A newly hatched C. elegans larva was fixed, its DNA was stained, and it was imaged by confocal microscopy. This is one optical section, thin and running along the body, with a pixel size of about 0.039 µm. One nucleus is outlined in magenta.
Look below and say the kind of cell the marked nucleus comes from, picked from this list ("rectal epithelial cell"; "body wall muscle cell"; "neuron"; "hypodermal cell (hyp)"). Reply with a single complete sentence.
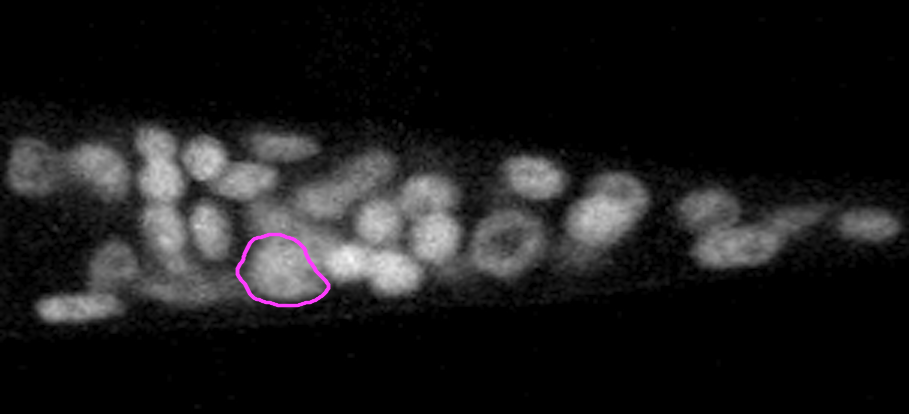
What is marked is the nucleus of a rectal epithelial cell.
